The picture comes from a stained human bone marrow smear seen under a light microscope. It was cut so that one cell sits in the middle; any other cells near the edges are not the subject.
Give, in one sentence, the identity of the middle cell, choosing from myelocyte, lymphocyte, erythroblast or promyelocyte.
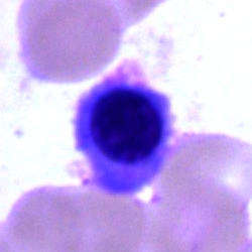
The central cell shown in this smear crop is an erythroblast.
